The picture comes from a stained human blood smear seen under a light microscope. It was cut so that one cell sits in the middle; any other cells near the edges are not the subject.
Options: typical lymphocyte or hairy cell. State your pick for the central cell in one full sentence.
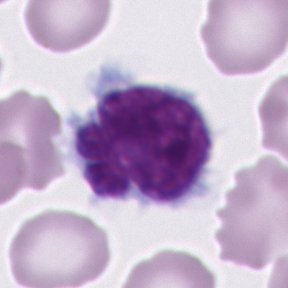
For this crop, the central cell is a hairy cell.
